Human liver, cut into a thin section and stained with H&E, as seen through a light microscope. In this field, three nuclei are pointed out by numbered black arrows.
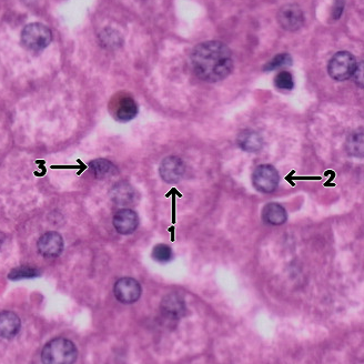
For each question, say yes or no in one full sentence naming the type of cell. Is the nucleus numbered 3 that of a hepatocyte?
No, the cell bearing the number 3 is a Kupffer cell, not a hepatocyte.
